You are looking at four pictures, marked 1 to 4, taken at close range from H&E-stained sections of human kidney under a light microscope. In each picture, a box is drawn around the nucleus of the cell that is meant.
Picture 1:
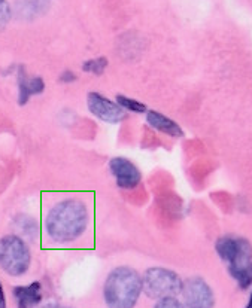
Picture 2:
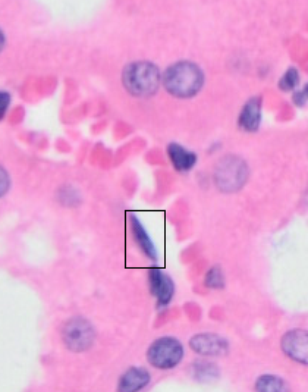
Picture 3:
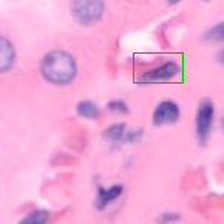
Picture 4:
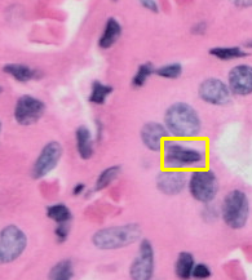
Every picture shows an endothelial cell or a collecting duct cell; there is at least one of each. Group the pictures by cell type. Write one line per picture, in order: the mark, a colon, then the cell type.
1: collecting duct cell
2: endothelial cell
3: endothelial cell
4: collecting duct cell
